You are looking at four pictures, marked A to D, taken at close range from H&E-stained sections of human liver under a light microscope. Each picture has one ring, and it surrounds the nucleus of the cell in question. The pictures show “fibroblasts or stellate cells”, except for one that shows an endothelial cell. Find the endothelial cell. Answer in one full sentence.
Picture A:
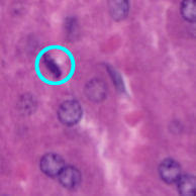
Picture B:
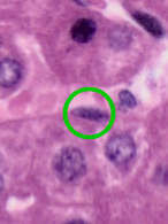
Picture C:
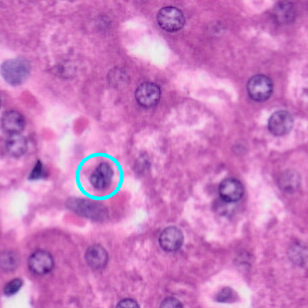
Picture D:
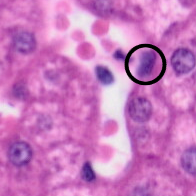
It is picture B that shows the endothelial cell.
